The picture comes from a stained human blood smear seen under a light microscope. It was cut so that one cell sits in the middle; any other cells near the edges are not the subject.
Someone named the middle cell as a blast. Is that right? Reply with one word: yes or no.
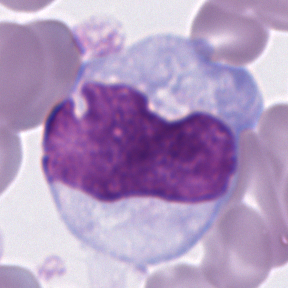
no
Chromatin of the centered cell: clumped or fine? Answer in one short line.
The chromatin is delicate and fine, lacking coarse clumping entirely.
